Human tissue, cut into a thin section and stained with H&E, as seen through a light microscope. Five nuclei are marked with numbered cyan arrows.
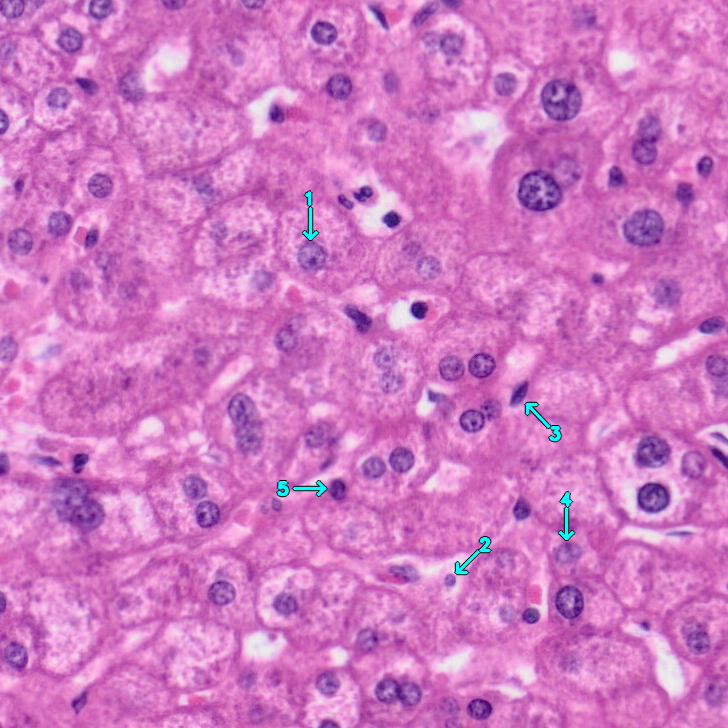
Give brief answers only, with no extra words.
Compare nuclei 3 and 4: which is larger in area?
4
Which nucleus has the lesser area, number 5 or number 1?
5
